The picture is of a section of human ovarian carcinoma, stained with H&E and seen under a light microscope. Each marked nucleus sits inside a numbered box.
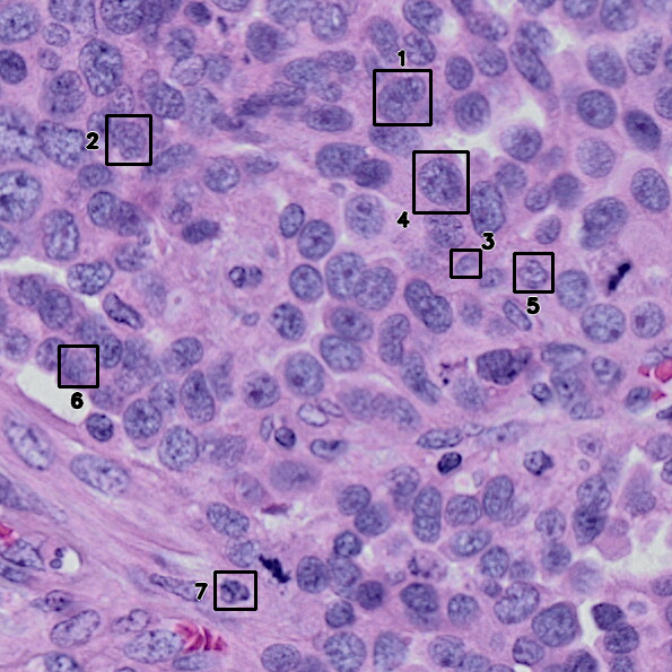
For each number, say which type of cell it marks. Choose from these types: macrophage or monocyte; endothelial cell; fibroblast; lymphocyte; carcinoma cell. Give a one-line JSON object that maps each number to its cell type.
{"1": "carcinoma cell", "2": "carcinoma cell", "3": "fibroblast", "4": "carcinoma cell", "5": "fibroblast", "6": "carcinoma cell", "7": "lymphocyte"}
